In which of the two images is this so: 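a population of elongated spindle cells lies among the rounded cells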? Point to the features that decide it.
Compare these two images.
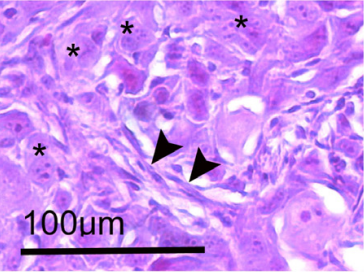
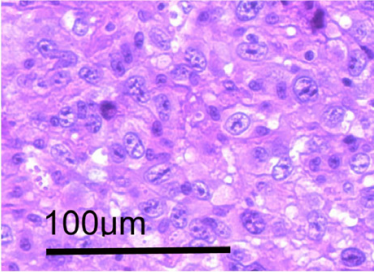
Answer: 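The first image. Second image: sheets of rounded and oval cells with round nuclei, no elongated cells. First image: slender elongated cells with narrow nuclei stream between large rounded cells.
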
